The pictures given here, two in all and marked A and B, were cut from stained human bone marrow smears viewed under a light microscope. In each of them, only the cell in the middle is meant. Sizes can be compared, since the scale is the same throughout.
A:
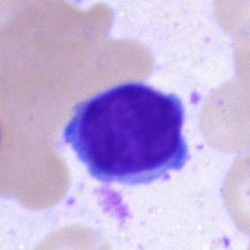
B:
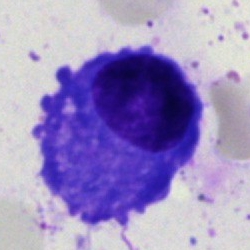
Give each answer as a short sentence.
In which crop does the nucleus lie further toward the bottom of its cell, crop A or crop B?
The nucleus in crop A lies further toward the bottom of its cell.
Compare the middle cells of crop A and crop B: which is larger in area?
The cell in crop B is larger, with about 2 times the area of the one in crop A.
